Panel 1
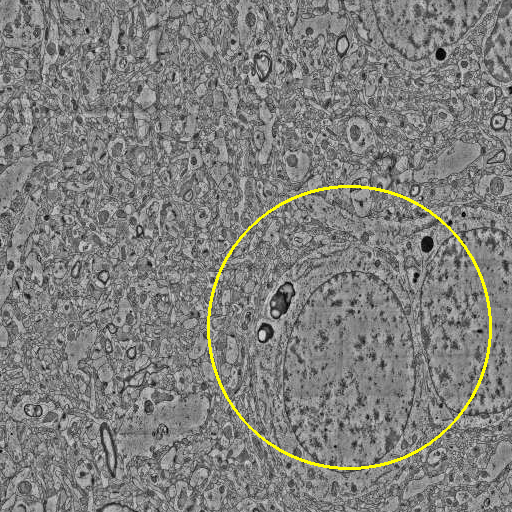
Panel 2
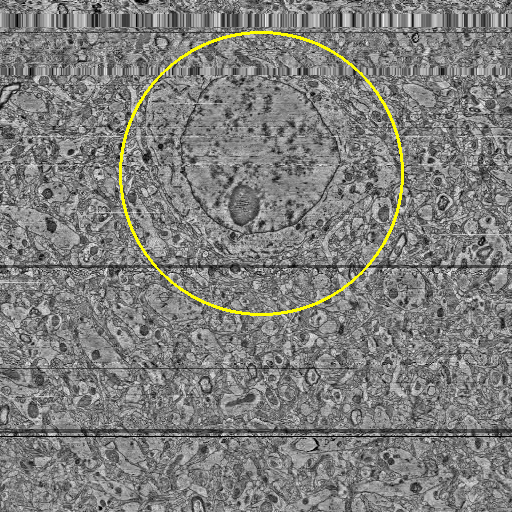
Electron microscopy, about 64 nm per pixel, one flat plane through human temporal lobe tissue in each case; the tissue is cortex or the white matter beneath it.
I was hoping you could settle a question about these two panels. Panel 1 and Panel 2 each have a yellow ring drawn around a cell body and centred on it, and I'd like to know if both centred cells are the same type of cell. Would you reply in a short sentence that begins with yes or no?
Yes, both are the same type of cell.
